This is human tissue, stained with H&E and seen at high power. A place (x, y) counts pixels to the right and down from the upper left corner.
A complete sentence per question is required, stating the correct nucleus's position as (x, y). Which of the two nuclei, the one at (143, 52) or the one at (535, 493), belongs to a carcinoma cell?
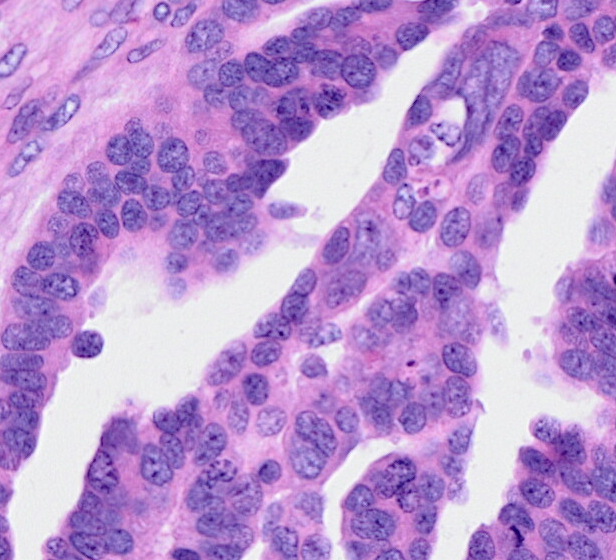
Of the two nuclei, the nucleus of a carcinoma cell is at (535, 493).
